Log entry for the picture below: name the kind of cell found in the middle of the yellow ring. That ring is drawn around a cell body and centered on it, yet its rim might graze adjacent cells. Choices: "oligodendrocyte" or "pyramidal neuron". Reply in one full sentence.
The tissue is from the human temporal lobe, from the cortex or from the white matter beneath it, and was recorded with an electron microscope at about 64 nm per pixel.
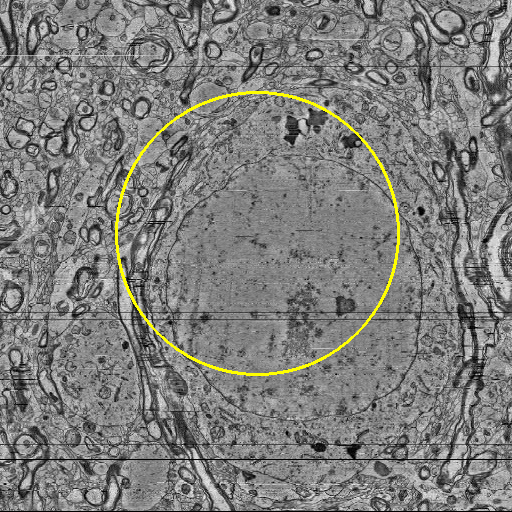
The cell in the middle of the yellow ring in this picture is a pyramidal neuron.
